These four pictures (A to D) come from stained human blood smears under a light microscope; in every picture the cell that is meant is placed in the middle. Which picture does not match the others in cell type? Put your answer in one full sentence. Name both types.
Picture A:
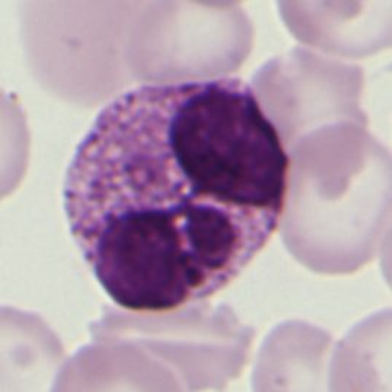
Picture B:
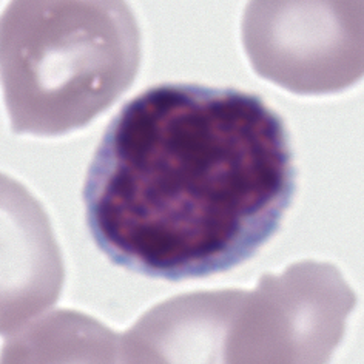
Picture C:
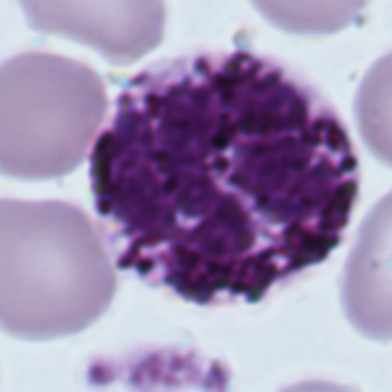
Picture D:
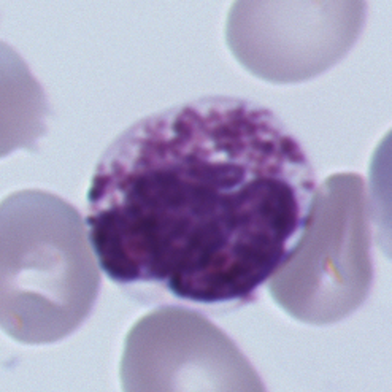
All pictures except B show basophils; picture B shows a typical lymphocyte.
